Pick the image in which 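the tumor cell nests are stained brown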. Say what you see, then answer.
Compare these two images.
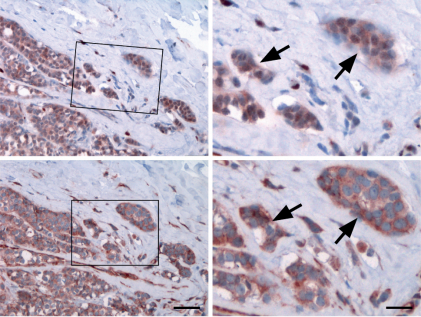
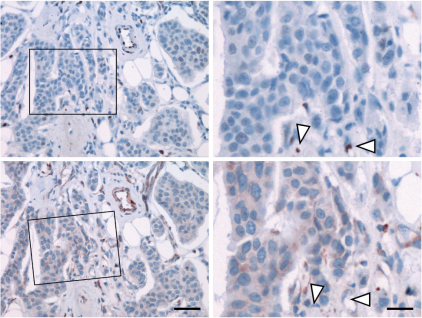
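Second image: the epithelial nests are mostly blue, with only pale or no brown colour. First image: the epithelial nests show strong brown staining in both rows. That points to this answer: the first image.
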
